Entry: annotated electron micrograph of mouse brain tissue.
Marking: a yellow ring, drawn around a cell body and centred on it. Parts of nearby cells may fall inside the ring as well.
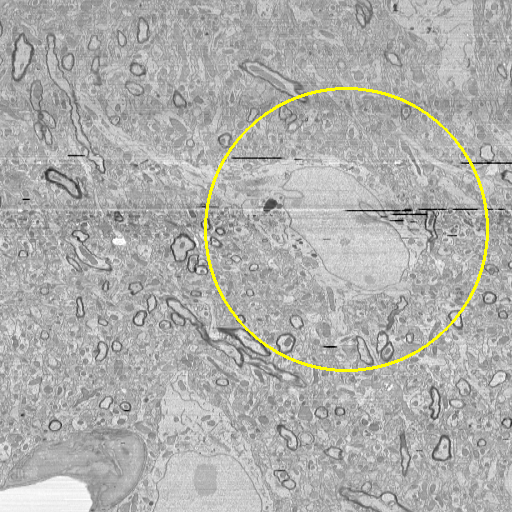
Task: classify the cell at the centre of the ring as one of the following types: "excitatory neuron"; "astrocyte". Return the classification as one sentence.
The marked cell is classified as an excitatory neuron.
